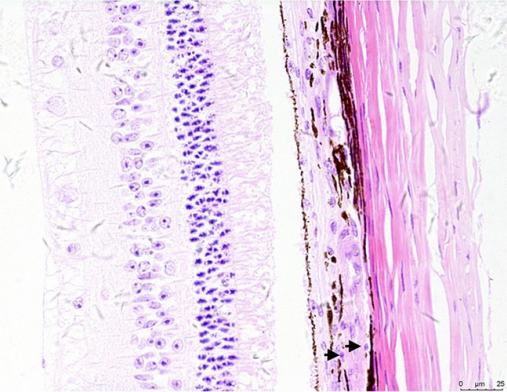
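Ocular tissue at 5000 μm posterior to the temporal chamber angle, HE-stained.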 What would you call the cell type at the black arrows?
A: Chronic inflammatory cells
